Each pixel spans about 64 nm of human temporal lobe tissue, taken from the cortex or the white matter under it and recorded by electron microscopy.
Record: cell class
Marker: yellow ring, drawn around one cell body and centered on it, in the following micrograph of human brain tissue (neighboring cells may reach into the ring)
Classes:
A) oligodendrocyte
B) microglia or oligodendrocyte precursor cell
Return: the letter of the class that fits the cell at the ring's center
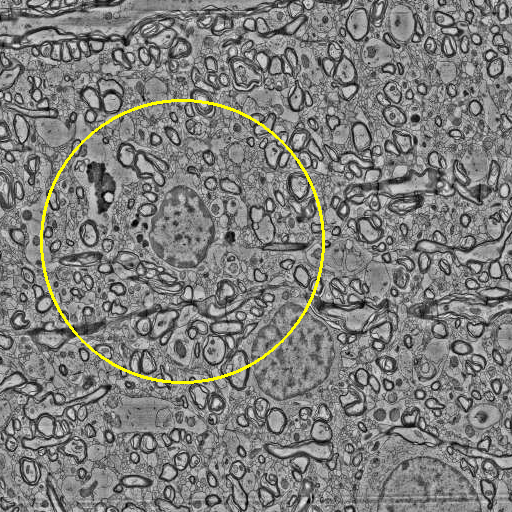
B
